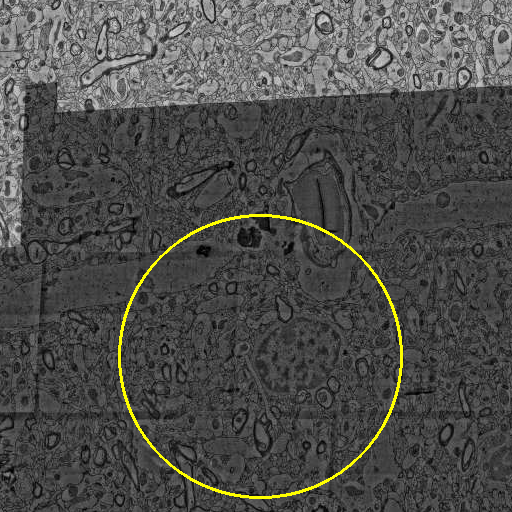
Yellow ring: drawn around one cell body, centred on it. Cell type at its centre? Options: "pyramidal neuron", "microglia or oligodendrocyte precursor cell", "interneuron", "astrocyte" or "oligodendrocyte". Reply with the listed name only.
oligodendrocyte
